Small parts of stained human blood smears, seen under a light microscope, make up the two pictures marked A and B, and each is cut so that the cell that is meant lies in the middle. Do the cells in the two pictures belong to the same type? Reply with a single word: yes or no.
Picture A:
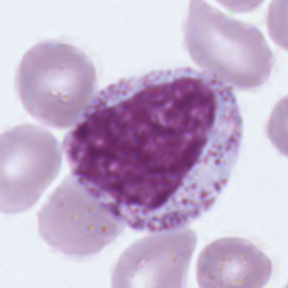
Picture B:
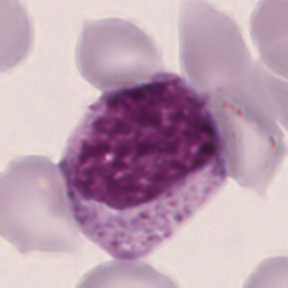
yes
